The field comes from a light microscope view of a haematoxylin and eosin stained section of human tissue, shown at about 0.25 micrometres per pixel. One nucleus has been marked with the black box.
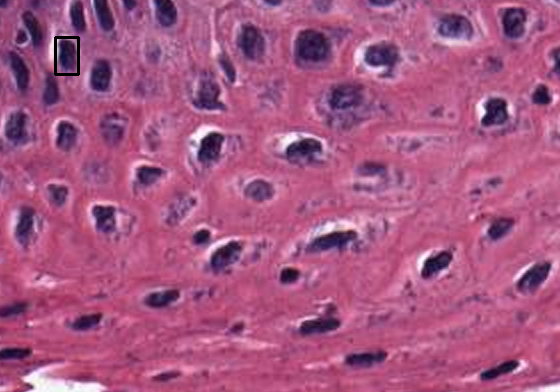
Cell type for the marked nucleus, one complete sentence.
The mark identifies the nucleus of a squamous epithelial cell.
